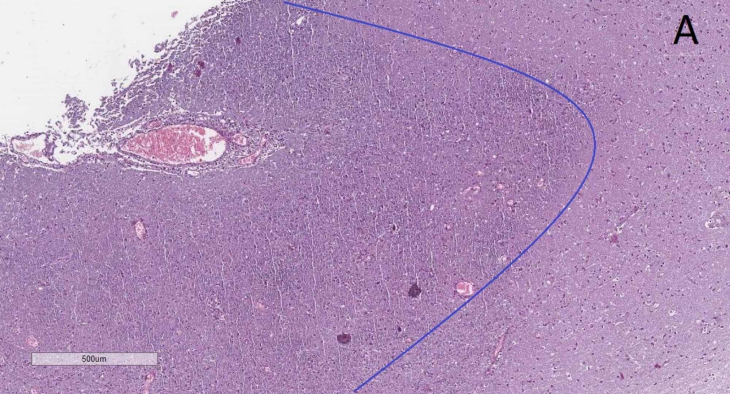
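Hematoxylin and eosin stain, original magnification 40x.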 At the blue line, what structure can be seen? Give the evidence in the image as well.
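The border between the necrotic tissue and the healthy parenchyma. Tissue on the left of the line is more densely and darkly stained. Tissue on the right of the line is paler with evenly scattered nuclei.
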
